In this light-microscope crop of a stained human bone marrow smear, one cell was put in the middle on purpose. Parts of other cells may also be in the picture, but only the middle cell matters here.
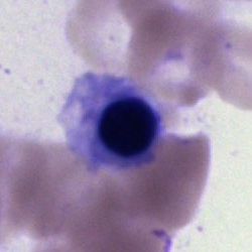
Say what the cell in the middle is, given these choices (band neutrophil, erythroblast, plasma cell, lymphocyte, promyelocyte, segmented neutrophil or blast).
erythroblast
